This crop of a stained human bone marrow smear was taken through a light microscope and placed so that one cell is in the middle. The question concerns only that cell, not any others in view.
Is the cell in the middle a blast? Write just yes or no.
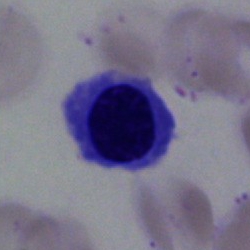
no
